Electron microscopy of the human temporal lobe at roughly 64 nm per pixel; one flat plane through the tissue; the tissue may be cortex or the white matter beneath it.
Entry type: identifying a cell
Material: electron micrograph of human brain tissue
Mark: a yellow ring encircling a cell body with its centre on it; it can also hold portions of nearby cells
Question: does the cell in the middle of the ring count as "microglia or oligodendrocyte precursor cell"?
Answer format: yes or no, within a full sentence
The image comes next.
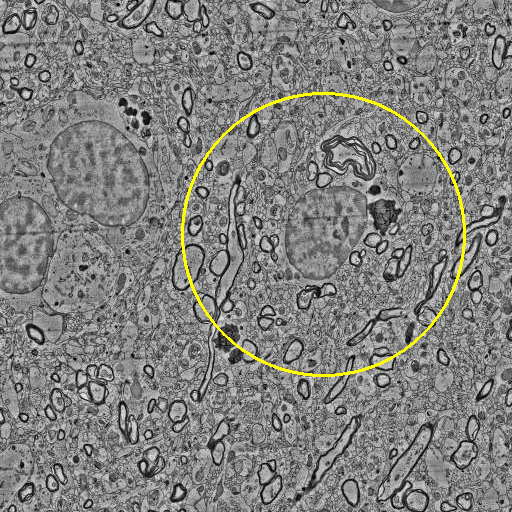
No, in the image, the cell in the middle of the yellow ring counts as a different kind.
